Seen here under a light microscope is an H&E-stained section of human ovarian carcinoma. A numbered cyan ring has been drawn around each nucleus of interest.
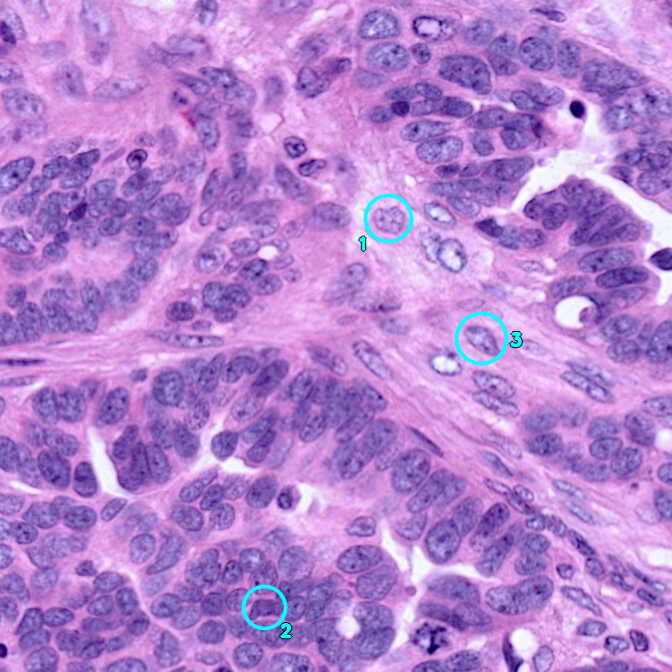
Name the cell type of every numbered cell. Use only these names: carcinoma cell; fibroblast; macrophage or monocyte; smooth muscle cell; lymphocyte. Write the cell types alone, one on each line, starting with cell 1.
fibroblast
carcinoma cell
fibroblast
